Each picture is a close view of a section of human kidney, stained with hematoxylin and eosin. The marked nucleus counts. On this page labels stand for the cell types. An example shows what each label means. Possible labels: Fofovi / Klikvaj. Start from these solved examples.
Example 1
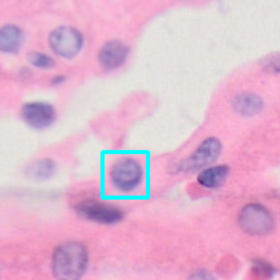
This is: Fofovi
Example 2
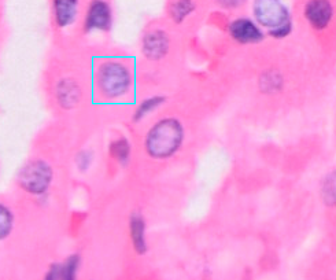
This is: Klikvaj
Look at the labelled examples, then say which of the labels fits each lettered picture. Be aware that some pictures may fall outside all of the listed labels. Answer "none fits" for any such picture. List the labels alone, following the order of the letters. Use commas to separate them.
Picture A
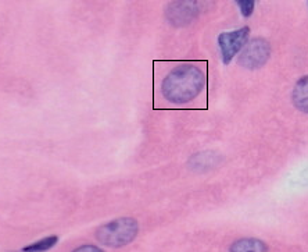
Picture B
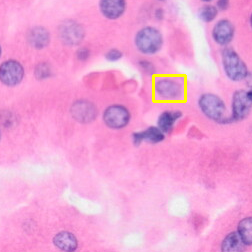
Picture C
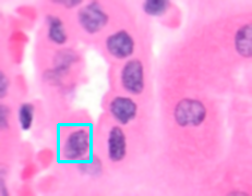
none fits, Fofovi, Fofovi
